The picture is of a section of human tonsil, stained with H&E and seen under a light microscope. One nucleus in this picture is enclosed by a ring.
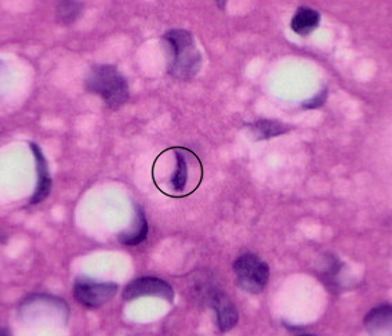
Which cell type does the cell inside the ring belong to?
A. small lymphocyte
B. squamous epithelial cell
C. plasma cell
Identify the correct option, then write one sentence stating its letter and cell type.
Under option B, the cell inside the ring is listed as a squamous epithelial cell, which is correct.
